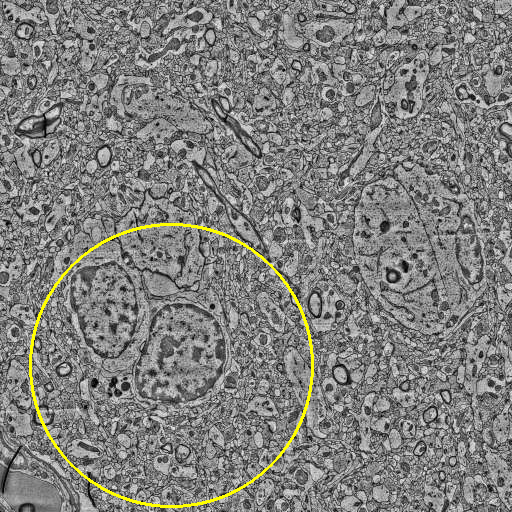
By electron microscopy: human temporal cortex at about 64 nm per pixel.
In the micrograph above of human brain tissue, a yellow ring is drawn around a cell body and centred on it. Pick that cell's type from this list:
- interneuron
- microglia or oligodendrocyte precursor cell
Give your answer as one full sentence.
Going by the list, a microglial cell or oligodendrocyte precursor cell is the cell on which the yellow ring is centred.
